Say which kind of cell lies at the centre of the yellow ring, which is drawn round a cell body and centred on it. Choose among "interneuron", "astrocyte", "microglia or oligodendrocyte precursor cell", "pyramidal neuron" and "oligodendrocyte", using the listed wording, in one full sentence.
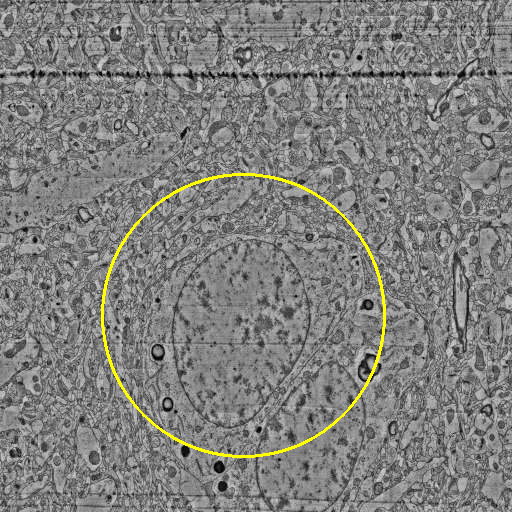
Going by the list, the cell at the yellow ring's centre is a pyramidal neuron.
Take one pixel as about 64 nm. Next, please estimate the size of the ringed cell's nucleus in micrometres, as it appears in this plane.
In this plane the nucleus measures roughly 12 by 9 micrometers.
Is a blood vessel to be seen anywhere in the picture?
No.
